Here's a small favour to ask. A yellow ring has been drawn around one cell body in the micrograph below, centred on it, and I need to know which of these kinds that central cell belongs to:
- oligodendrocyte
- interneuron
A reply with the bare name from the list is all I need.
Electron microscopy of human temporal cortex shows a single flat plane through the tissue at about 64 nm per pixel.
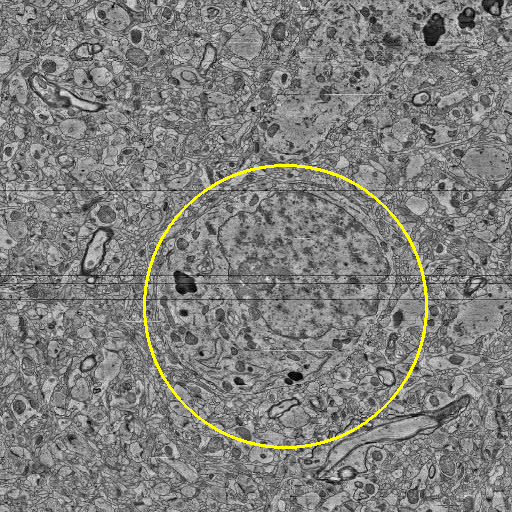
interneuron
